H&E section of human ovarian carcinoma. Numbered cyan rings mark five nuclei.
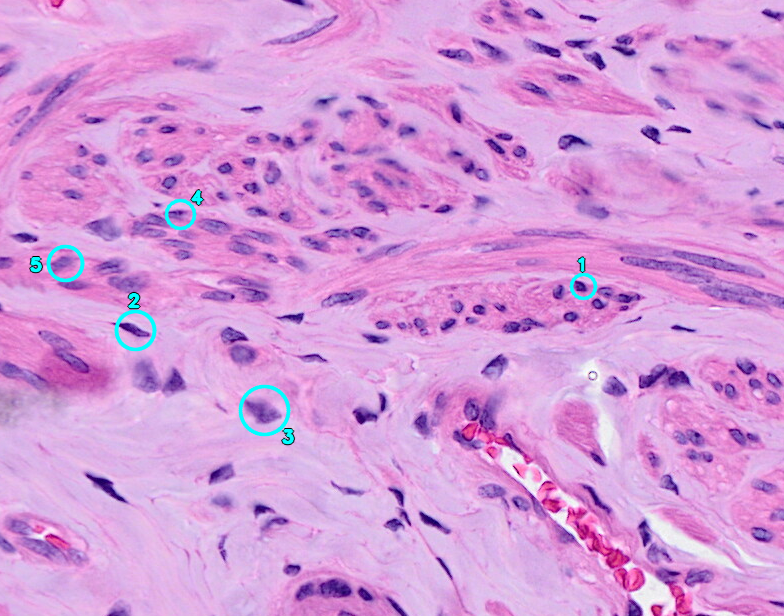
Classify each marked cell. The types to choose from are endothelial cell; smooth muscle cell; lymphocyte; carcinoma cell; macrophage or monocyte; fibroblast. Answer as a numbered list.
1. smooth muscle cell
2. fibroblast
3. fibroblast
4. smooth muscle cell
5. smooth muscle cell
